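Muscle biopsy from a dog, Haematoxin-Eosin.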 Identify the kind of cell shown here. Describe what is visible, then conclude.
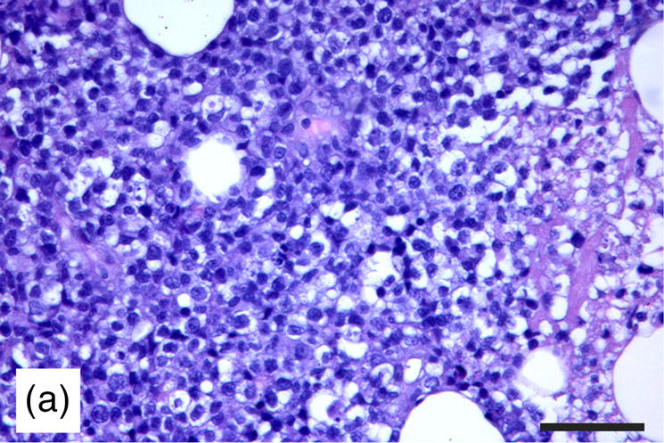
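Neoplastic lymphoid cells. Dense sheets of round cells with dark round nuclei and scant cytoplasm fill the field. Normal muscle fibres are not evident among the cells.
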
